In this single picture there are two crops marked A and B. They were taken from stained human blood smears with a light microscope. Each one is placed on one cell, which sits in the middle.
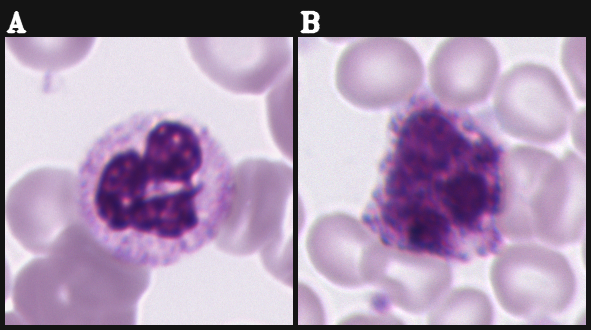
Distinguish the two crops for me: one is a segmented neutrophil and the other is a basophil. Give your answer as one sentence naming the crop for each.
In this set, crop A is a segmented neutrophil and crop B is a basophil.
